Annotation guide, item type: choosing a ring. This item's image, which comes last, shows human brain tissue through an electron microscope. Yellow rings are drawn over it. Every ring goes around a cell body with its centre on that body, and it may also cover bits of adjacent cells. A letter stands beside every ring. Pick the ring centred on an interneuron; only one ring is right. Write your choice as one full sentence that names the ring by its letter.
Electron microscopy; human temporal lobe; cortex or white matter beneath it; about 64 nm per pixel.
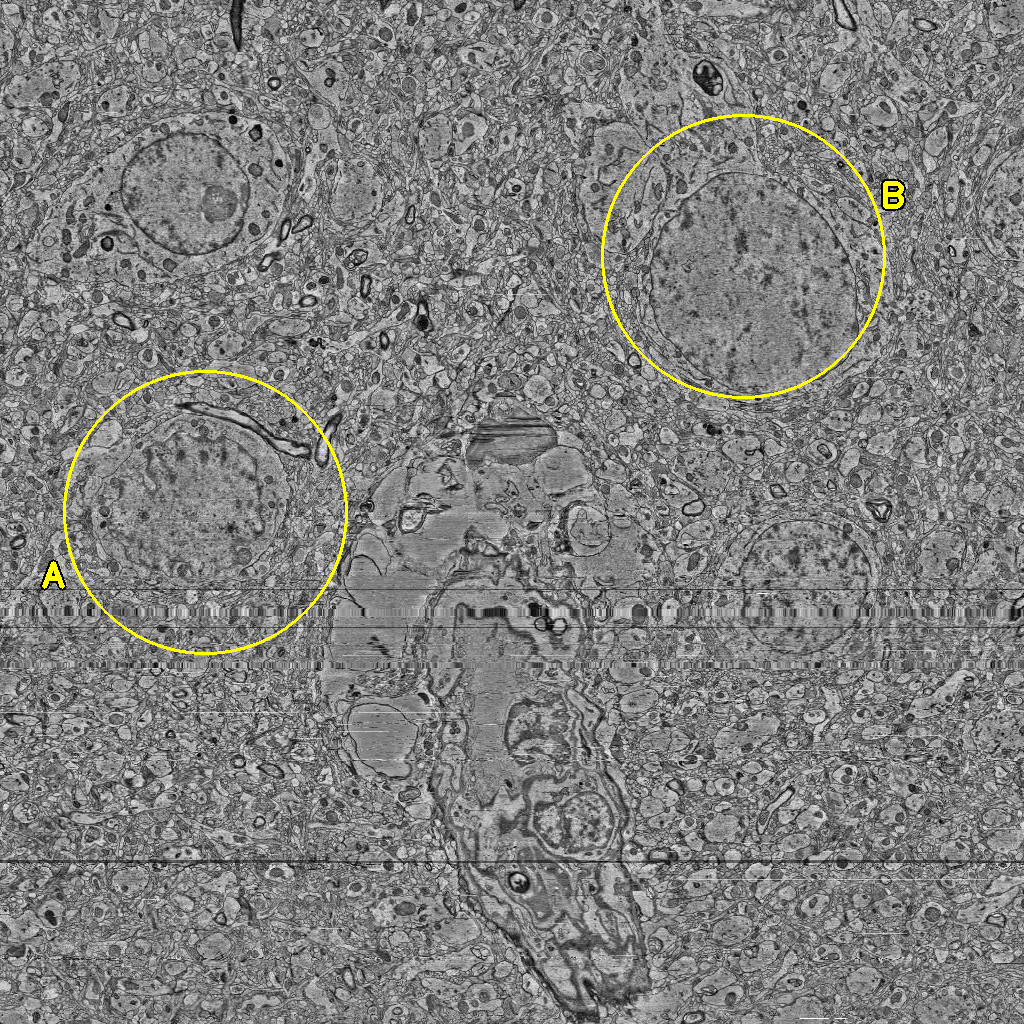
In the image, Ring A is centred on a cell of the kind requested.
